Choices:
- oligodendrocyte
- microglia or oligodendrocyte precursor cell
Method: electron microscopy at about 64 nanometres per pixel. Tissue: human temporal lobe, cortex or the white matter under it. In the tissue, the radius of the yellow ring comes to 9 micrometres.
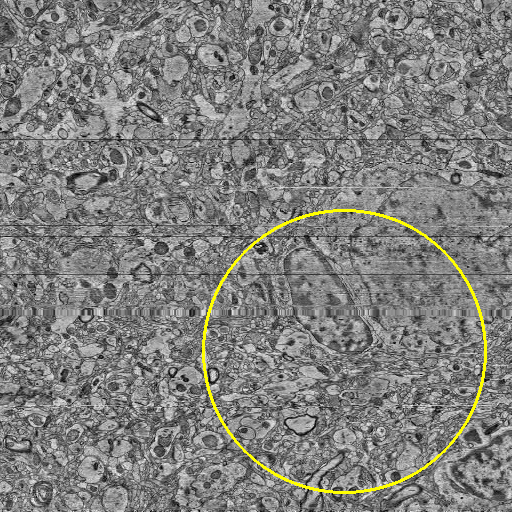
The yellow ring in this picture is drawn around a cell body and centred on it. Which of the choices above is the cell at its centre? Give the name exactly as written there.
microglia or oligodendrocyte precursor cell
